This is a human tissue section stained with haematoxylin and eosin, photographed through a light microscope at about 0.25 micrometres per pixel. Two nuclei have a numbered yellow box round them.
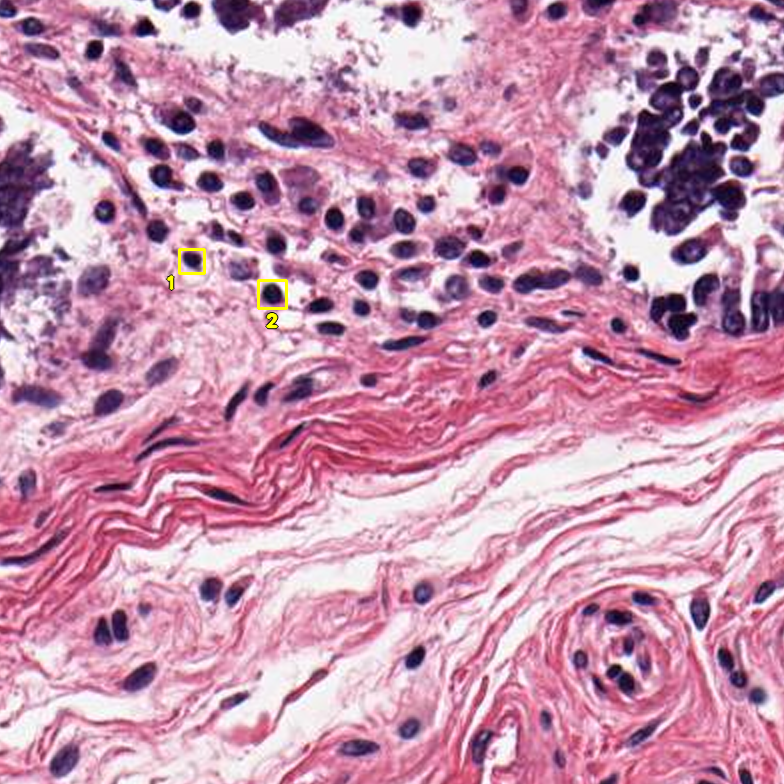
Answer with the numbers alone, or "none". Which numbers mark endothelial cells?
none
